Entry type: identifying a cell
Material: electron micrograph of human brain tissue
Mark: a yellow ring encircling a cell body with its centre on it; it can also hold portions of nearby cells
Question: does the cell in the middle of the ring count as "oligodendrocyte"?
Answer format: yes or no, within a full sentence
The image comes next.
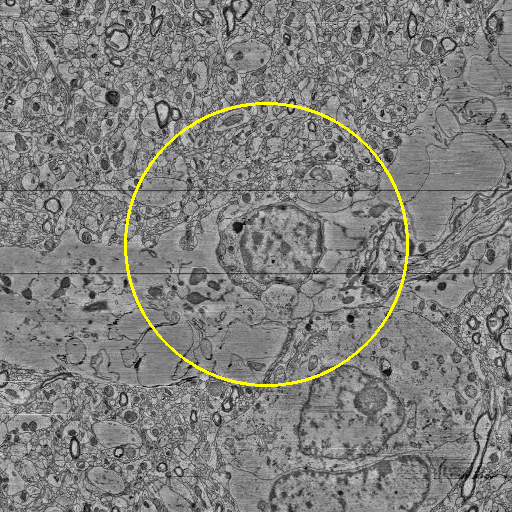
Yes, in the image, the cell in the middle of the yellow ring counts as the queried kind.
